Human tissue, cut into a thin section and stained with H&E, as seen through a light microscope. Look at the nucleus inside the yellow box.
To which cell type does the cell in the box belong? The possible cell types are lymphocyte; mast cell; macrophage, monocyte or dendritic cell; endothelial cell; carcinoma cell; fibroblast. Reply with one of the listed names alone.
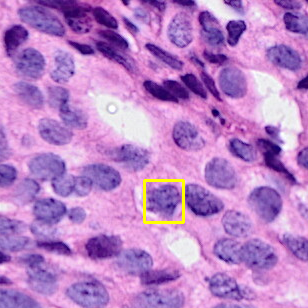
carcinoma cell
